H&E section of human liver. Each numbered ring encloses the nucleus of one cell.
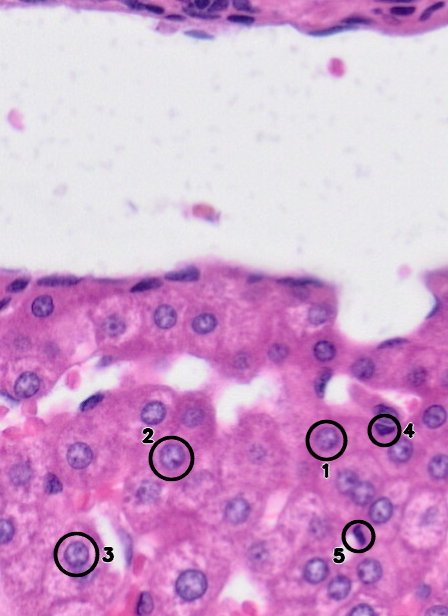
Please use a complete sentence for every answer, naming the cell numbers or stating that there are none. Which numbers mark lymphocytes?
Across all the numbered cells, lymphocytes are absent.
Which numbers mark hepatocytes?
When it comes to cells 1, 2 and 3, they are hepatocytes.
